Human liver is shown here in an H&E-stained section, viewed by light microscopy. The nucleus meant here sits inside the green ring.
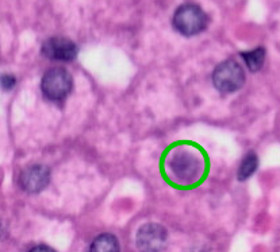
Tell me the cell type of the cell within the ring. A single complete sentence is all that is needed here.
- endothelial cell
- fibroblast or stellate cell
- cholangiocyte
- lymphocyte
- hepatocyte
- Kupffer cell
Placed in its cell category, the cell within the ring is a hepatocyte.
